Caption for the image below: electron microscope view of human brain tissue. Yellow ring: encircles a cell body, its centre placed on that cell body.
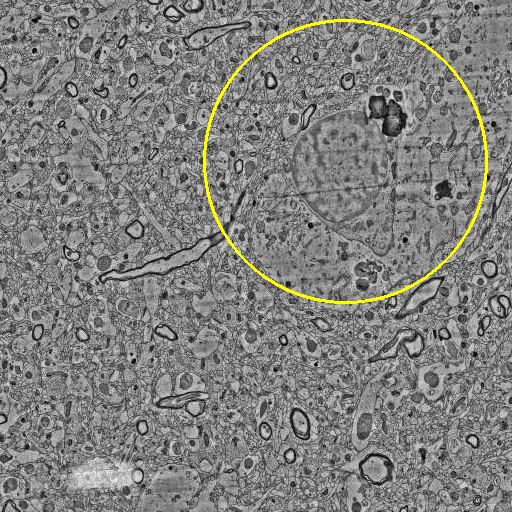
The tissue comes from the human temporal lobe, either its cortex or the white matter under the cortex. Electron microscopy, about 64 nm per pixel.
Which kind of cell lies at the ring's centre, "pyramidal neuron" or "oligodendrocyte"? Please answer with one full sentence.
The picture shows an oligodendrocyte at the centre of the yellow ring.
